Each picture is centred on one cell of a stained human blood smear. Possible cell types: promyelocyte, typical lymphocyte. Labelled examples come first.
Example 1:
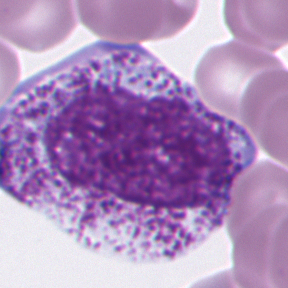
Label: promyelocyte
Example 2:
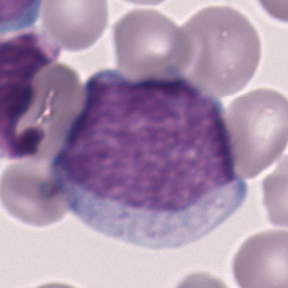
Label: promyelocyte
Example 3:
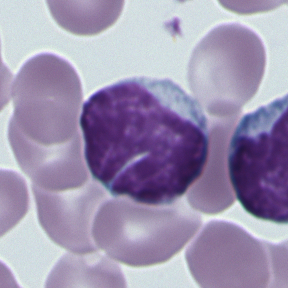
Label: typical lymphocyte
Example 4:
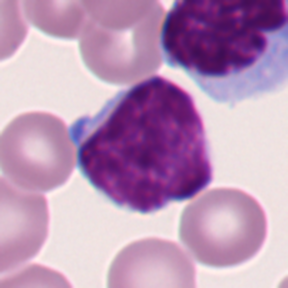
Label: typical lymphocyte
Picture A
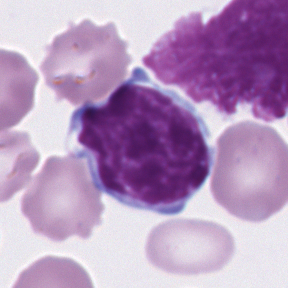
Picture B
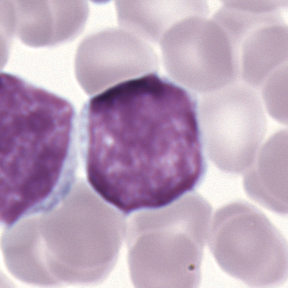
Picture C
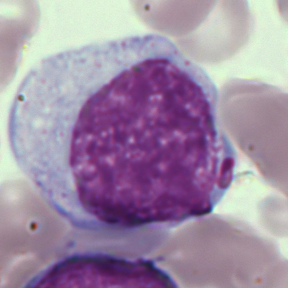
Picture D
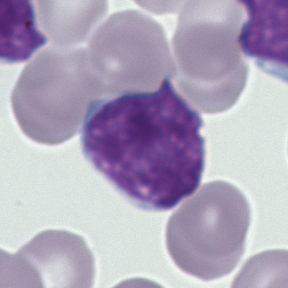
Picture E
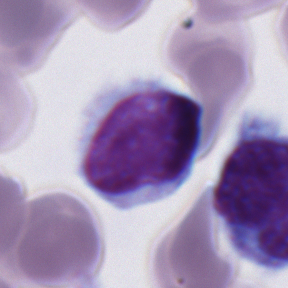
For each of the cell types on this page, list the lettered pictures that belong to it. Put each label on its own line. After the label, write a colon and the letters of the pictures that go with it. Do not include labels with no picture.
promyelocyte: C
typical lymphocyte: A, B, D, E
